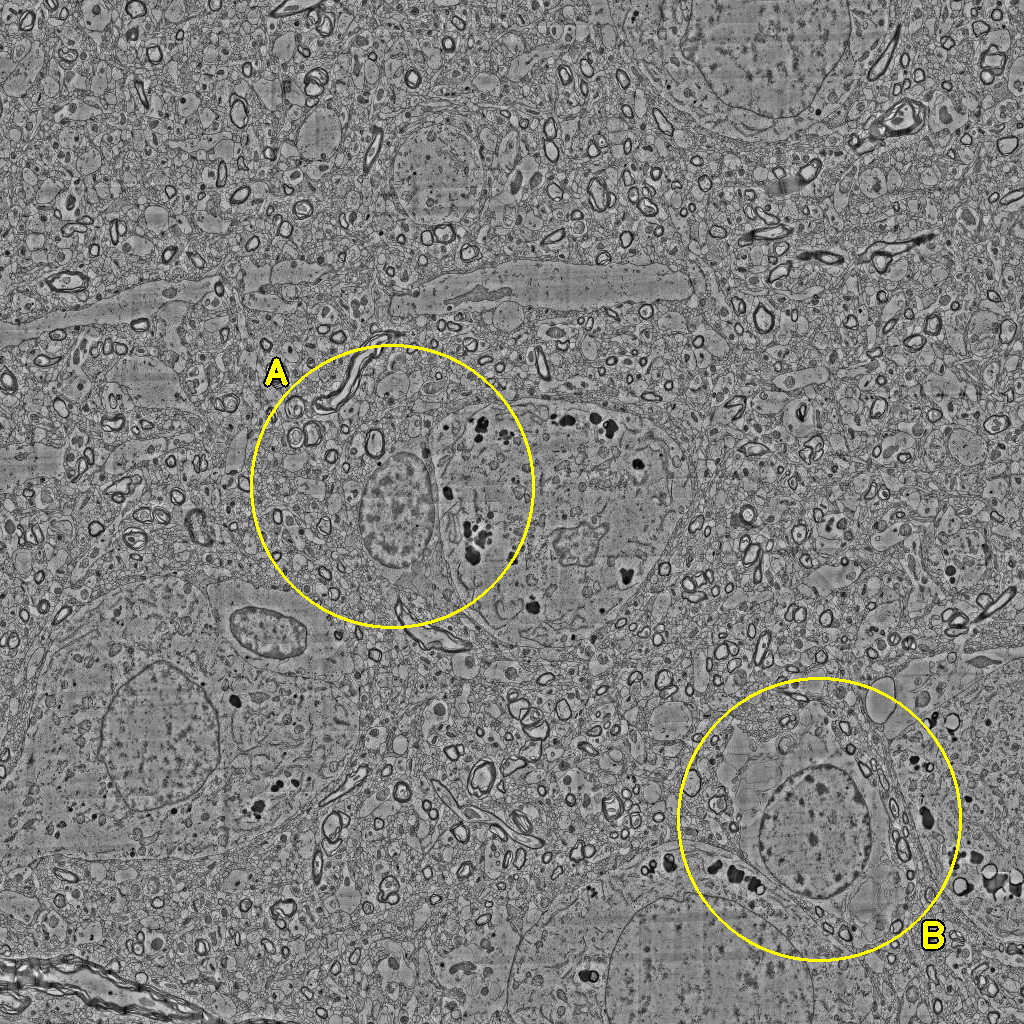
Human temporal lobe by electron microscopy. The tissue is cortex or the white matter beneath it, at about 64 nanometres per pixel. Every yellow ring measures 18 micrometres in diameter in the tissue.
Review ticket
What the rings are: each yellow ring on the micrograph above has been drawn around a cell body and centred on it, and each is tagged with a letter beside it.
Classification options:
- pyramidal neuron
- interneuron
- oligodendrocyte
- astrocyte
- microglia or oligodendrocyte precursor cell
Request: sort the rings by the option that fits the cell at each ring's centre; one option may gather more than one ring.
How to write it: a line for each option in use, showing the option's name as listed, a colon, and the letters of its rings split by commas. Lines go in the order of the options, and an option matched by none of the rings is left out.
oligodendrocyte: A
astrocyte: B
